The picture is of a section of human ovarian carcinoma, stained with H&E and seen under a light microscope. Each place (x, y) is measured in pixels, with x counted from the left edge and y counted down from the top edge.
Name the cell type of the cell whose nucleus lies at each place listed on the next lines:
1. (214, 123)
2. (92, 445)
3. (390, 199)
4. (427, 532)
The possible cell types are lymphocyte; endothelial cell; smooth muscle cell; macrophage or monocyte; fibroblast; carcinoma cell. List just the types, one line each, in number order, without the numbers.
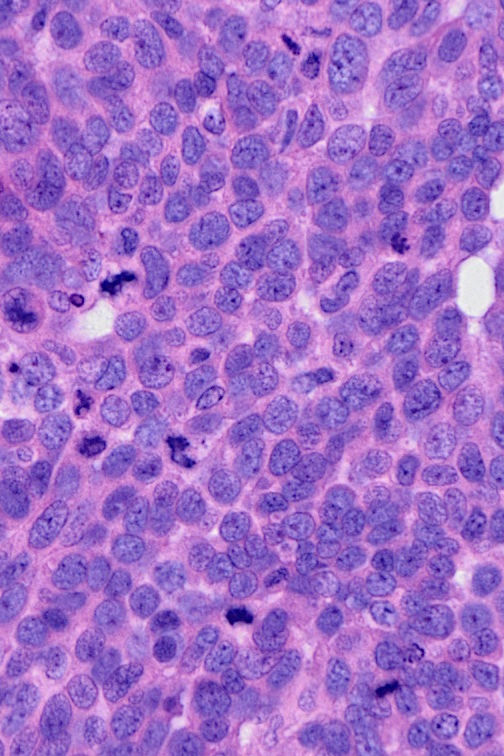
macrophage or monocyte
carcinoma cell
carcinoma cell
carcinoma cell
